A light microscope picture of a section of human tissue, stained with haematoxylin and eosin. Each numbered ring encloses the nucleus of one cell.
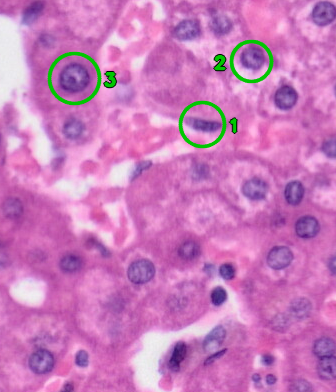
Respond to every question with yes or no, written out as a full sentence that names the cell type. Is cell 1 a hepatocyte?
No, number 1 is assigned to a Kupffer cell, not to a hepatocyte.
